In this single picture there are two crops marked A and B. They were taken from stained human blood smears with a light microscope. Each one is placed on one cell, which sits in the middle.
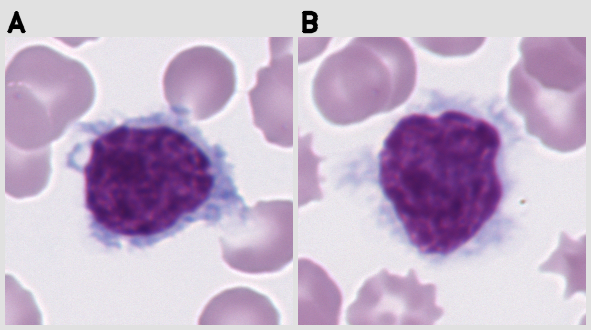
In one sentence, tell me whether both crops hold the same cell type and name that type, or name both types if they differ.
Yes, both crops show hairy cells, to put it briefly.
